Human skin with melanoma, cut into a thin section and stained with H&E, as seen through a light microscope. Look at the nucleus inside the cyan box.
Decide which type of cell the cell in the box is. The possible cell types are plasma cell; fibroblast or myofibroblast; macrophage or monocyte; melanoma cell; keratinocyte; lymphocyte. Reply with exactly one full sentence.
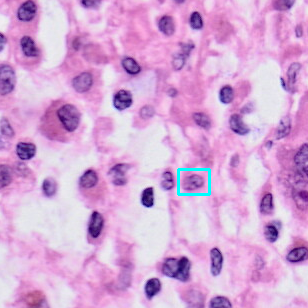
Recorded by type, the cell in the box is a macrophage or monocyte.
